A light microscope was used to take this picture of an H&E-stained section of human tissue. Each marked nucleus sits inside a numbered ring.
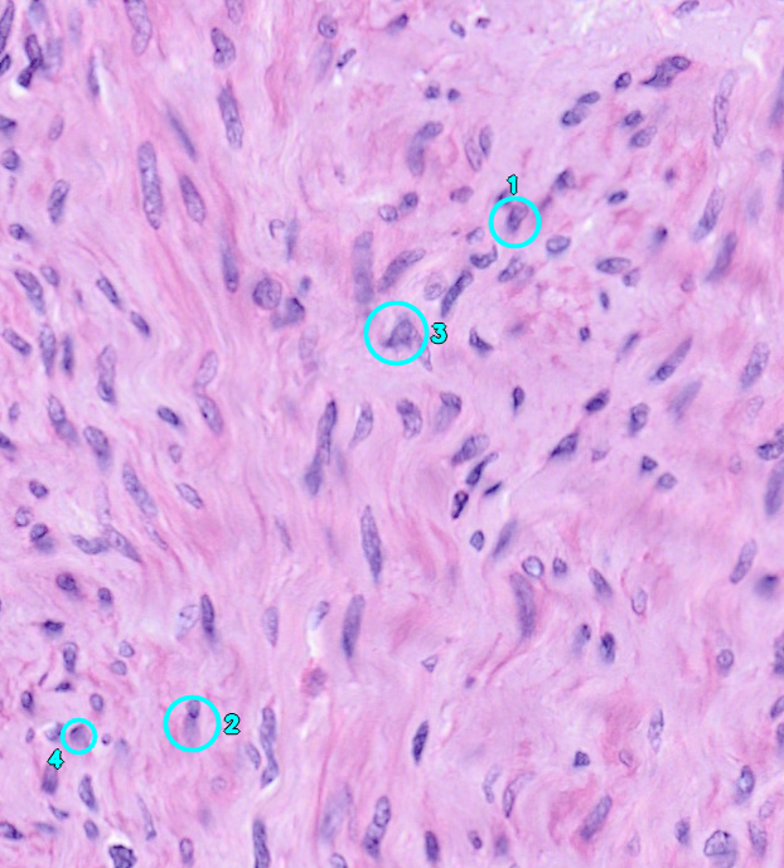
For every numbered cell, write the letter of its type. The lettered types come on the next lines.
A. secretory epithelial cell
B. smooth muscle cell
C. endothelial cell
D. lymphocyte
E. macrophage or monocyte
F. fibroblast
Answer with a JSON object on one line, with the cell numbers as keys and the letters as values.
{"1": "B", "2": "B", "3": "F", "4": "B"}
